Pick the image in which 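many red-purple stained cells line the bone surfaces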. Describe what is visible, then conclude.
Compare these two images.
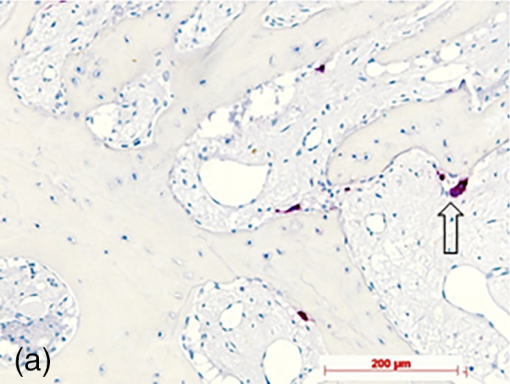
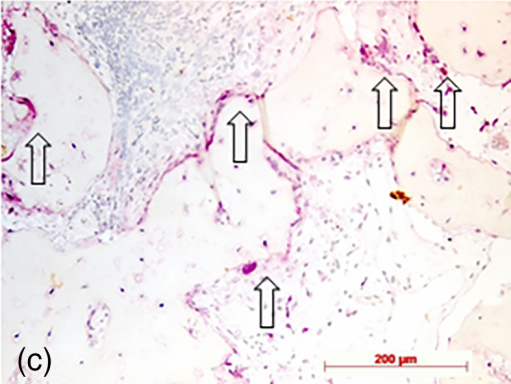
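First image: only a few small red-purple cells are scattered along the bone edges. Second image: red-purple stained cells line most of the bone surfaces around the marrow spaces. The answer: the second image.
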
